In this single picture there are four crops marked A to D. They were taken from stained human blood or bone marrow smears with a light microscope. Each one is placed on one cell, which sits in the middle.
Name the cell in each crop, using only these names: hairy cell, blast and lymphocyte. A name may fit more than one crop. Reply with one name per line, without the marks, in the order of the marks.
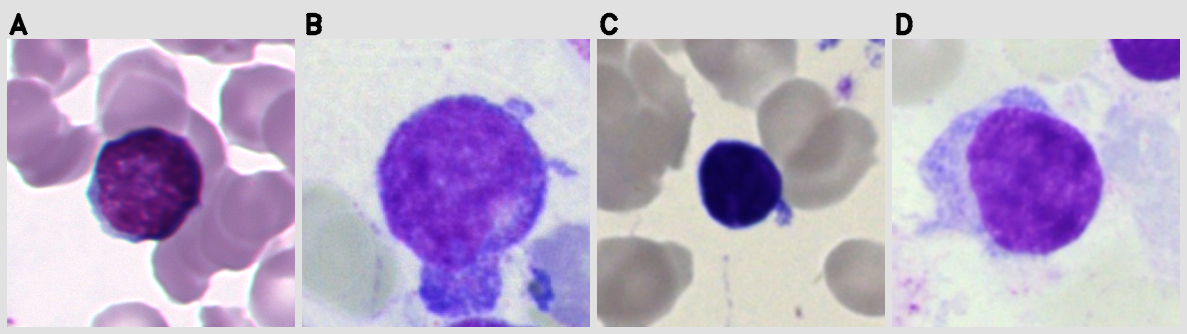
lymphocyte
blast
lymphocyte
hairy cell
